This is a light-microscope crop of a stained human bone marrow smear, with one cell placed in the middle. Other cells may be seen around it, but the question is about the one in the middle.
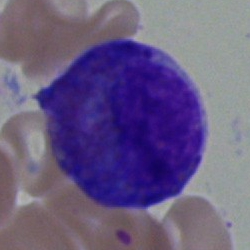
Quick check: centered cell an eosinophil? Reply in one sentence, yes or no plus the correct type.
Yes, the one cell at the centre is an eosinophil.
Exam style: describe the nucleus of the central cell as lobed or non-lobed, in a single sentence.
The nuclear material is gathered into one compact round, oval or kidney-shaped mass.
